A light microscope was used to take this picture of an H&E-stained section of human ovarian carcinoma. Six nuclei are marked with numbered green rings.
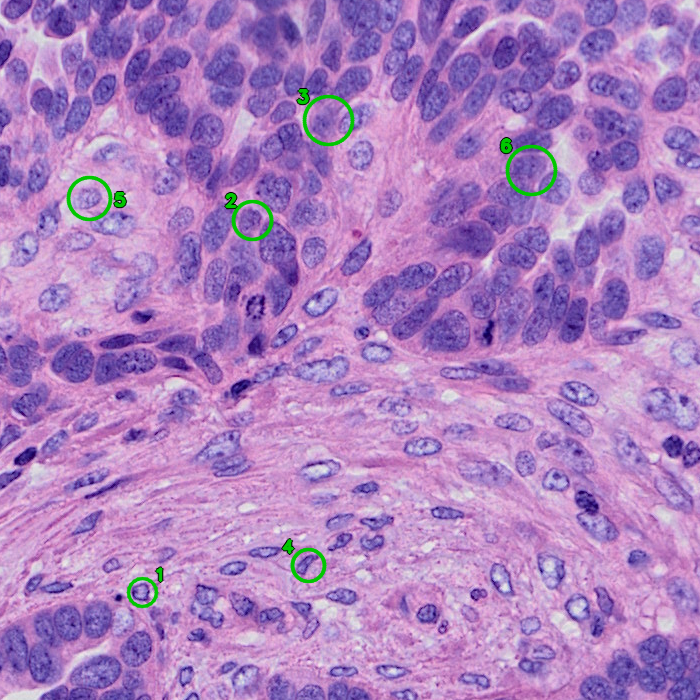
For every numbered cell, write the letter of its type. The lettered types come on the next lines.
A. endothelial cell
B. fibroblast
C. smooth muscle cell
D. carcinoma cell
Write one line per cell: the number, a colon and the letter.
1: B
2: D
3: D
4: B
5: B
6: D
